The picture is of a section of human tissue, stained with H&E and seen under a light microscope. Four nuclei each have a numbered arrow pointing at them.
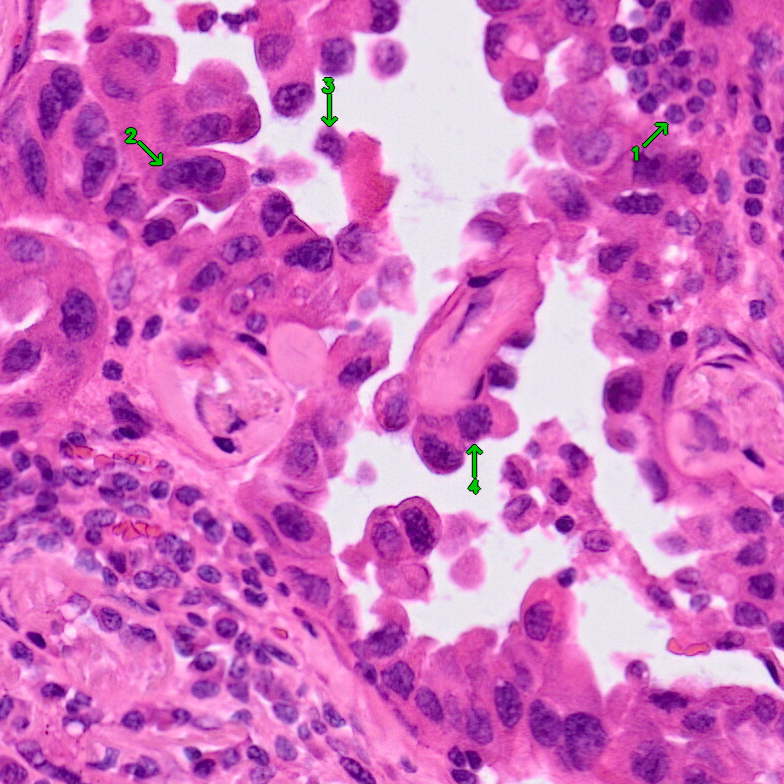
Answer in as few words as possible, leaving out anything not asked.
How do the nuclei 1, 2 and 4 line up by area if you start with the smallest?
1, 2, 4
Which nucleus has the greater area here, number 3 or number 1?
3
